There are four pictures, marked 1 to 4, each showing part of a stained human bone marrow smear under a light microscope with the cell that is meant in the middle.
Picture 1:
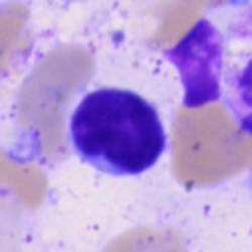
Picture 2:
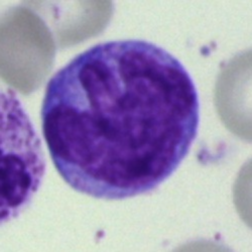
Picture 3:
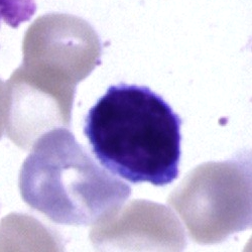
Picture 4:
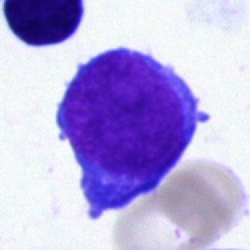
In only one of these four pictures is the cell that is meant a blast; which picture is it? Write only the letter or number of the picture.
4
